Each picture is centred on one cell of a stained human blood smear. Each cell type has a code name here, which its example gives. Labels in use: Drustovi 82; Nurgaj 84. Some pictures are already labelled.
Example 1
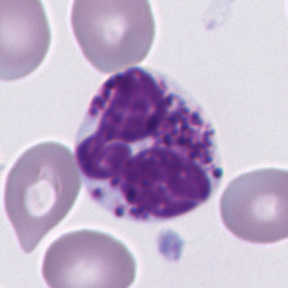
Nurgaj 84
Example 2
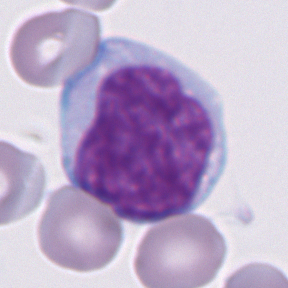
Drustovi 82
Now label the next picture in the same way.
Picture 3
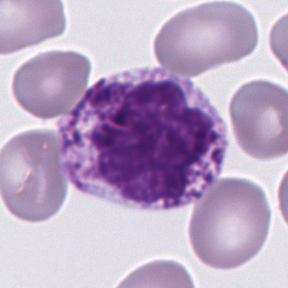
Nurgaj 84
